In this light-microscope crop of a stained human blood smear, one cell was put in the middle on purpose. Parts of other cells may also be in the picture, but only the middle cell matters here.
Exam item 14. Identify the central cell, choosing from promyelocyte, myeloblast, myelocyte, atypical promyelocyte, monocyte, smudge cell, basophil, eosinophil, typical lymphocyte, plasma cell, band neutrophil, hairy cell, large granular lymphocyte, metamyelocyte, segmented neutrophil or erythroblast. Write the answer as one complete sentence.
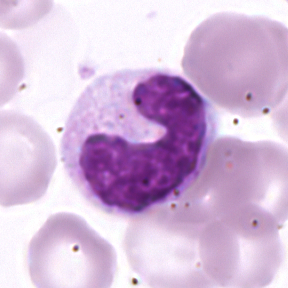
The cell occupying the middle of the crop is a band neutrophil.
